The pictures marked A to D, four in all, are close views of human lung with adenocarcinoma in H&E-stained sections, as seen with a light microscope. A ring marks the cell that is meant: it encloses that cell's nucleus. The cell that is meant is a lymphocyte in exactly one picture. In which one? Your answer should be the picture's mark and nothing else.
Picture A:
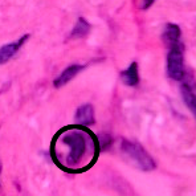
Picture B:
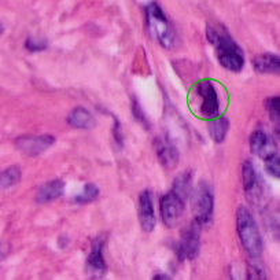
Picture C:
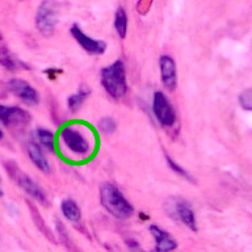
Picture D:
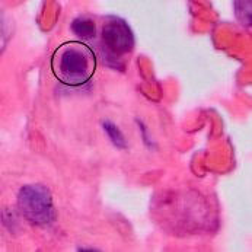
D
